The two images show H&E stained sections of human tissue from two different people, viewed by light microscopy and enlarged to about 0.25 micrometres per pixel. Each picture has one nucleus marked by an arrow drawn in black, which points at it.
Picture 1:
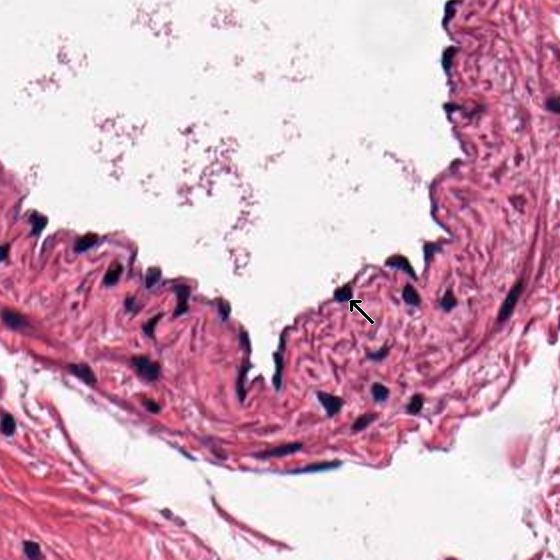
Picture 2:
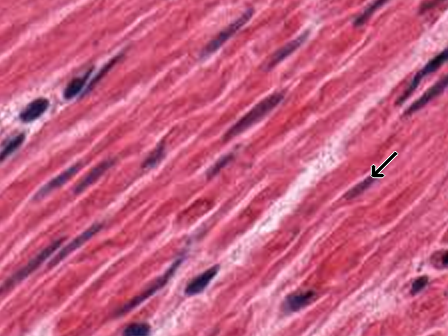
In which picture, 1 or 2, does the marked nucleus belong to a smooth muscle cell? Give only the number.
2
